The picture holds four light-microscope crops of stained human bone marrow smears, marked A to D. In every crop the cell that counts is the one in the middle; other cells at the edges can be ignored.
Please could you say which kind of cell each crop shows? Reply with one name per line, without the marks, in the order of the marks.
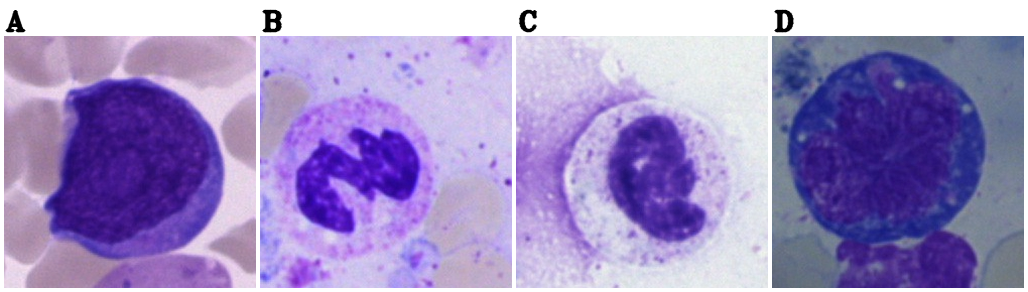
blast
segmented neutrophil
segmented neutrophil
blast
